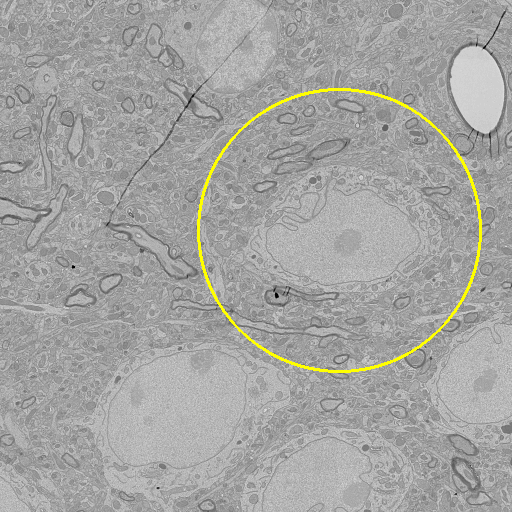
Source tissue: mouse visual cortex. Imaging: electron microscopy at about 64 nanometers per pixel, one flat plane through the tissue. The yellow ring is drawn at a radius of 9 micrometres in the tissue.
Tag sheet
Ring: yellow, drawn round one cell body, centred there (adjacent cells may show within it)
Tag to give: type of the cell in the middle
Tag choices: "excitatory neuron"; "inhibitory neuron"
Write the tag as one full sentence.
I tag the cell centred in the yellow ring as an inhibitory neuron in this picture.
